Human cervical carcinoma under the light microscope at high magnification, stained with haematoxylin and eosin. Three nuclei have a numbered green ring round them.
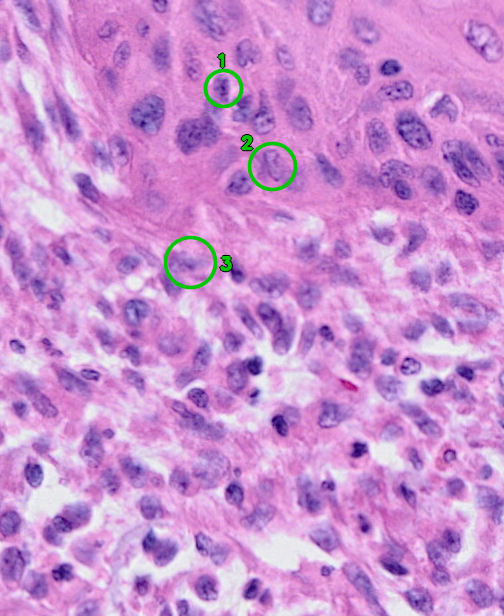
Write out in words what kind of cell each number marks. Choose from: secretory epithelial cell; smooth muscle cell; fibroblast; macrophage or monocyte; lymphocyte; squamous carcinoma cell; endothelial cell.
Cell 1 is a squamous carcinoma cell, cell 2 is a squamous carcinoma cell and cell 3 is a fibroblast.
